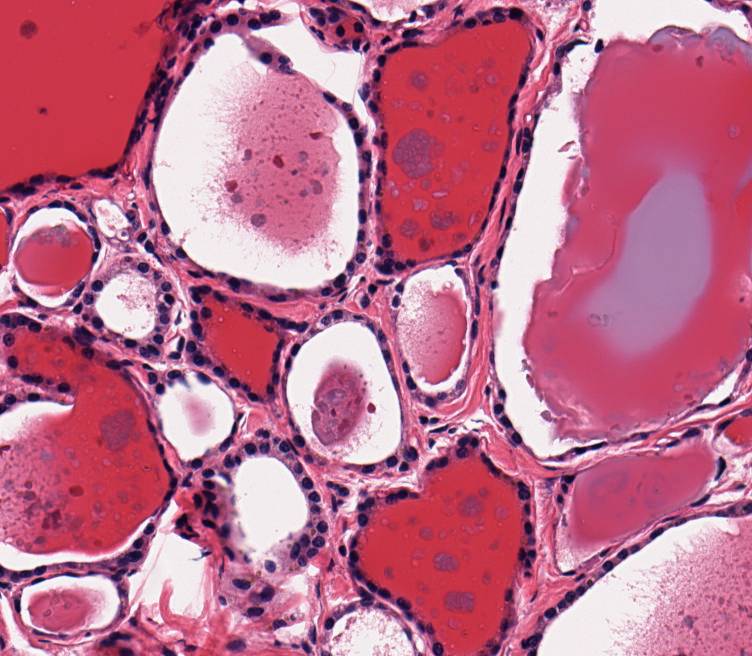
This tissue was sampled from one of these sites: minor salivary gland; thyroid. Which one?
thyroid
